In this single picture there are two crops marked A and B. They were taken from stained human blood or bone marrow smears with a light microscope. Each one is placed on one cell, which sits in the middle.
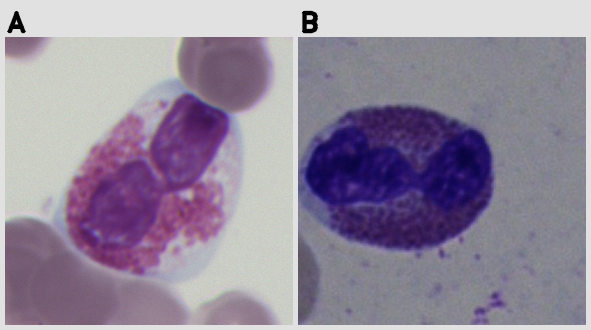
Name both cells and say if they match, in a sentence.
Yes, both crops feature eosinophils at the centre.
